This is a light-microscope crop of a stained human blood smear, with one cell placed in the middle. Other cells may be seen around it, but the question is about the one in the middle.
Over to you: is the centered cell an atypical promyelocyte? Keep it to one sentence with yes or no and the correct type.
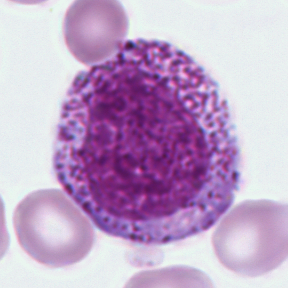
No, the central cell qualifies as a myelocyte rather than as an atypical promyelocyte.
